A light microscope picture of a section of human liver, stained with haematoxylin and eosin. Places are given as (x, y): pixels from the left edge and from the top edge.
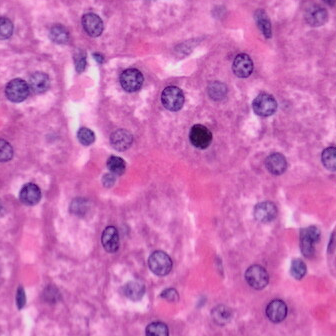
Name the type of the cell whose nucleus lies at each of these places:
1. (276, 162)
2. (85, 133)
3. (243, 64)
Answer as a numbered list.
1. hepatocyte
2. lymphocyte
3. hepatocyte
